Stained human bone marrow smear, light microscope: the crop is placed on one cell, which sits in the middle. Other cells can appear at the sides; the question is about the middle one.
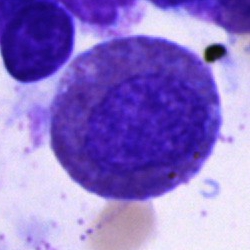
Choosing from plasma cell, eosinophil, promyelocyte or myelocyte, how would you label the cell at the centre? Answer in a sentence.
The central element of this crop is a cell, namely an eosinophil.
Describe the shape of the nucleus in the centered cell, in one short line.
The nucleus holds together as a single compact mass, round, oval or kidney-like.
